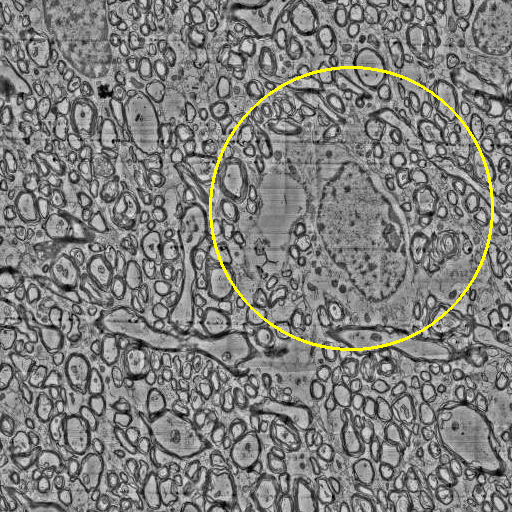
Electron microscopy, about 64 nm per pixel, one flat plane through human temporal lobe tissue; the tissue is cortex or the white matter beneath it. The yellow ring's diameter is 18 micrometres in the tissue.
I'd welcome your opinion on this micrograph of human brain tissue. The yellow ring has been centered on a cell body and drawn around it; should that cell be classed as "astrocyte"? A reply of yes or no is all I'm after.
yes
